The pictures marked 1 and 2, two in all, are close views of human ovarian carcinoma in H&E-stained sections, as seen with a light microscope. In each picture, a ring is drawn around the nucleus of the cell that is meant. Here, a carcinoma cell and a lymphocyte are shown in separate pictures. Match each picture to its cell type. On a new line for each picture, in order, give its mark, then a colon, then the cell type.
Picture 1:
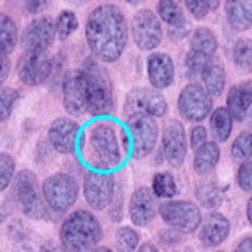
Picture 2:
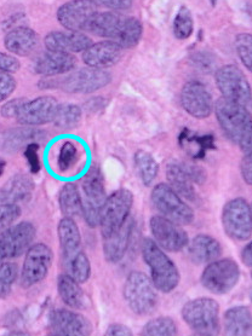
1: carcinoma cell
2: lymphocyte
